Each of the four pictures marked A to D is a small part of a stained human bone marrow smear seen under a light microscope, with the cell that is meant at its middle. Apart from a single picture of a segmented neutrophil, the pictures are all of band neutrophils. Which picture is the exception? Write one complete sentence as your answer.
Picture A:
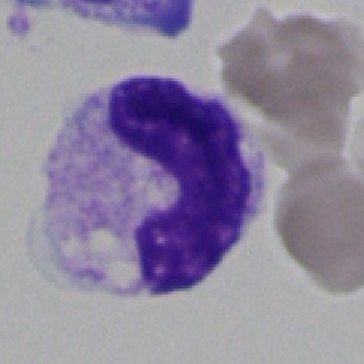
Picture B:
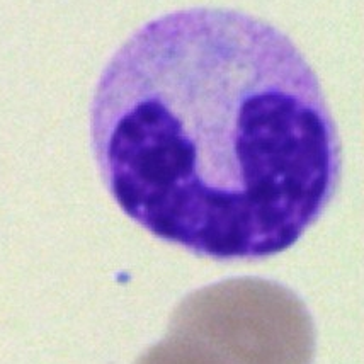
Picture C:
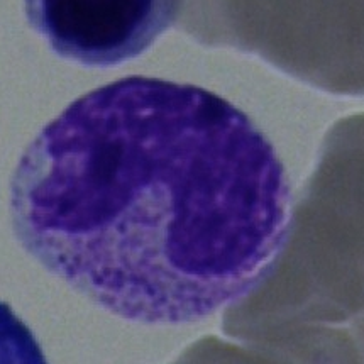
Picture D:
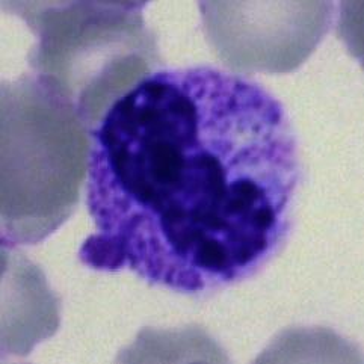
The segmented neutrophil is the one in picture D.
